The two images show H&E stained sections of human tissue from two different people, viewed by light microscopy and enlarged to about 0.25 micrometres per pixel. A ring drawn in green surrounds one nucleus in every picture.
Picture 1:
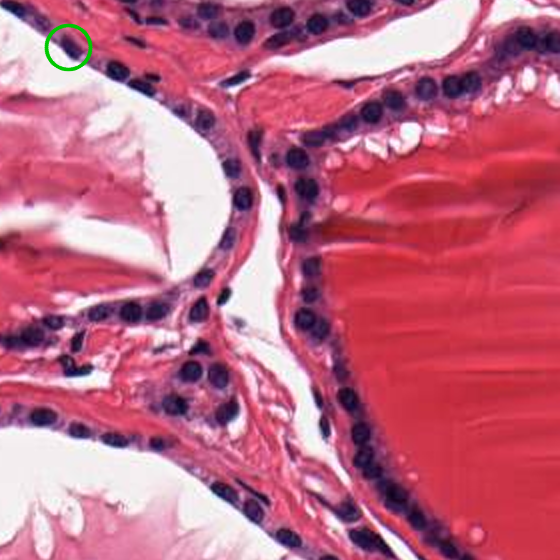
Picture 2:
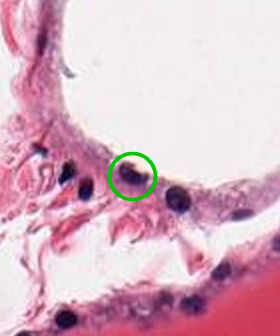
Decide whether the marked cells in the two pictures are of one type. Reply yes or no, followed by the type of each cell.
Yes, both are thyroid follicular cells.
